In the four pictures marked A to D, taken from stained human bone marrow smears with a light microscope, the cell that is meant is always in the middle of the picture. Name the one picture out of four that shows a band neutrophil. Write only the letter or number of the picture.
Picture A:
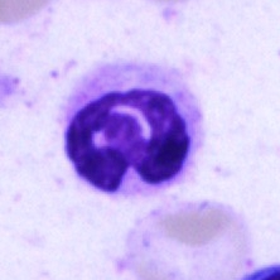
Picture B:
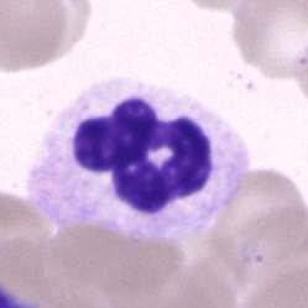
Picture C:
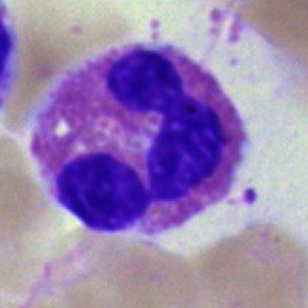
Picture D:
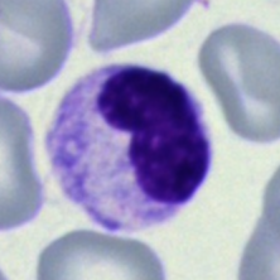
D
